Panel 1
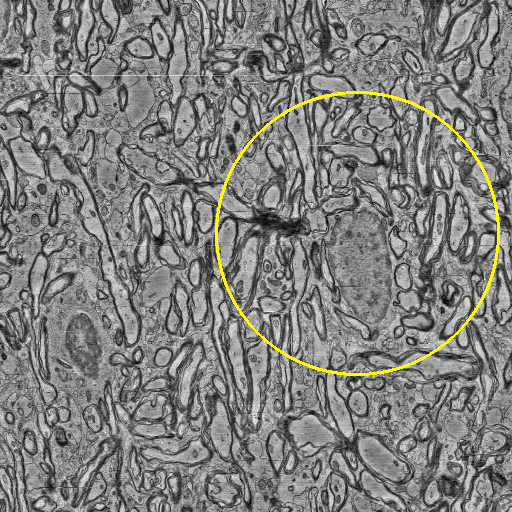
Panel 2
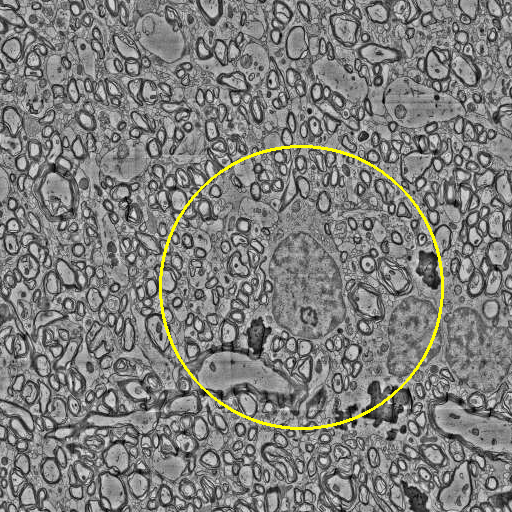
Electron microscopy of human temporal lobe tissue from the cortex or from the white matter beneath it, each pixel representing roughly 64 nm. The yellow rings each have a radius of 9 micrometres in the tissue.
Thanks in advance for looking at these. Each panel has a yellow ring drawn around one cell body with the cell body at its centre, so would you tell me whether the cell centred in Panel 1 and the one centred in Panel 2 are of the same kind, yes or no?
yes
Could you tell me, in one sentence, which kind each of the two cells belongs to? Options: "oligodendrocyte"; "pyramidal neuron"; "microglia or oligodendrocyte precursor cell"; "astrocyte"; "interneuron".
In both pictures the ring is centred on an oligodendrocyte.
